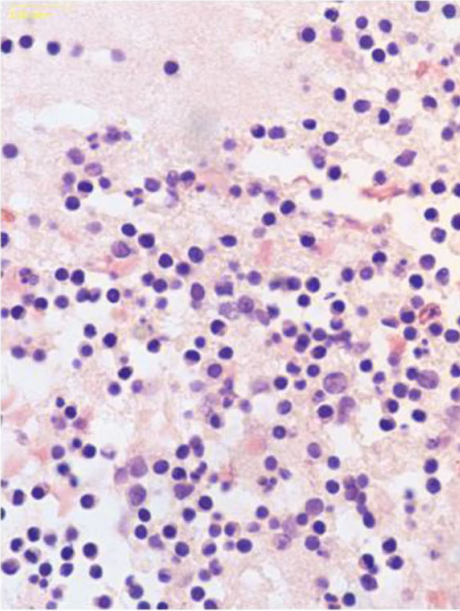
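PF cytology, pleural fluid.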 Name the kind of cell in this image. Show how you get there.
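Most cells are small and round with dense, dark purple round nuclei. The nuclei are surrounded by only a thin rim of cytoplasm. The cells lie loosely scattered rather than joined in sheets. That points to this answer: small lymphocytes.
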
